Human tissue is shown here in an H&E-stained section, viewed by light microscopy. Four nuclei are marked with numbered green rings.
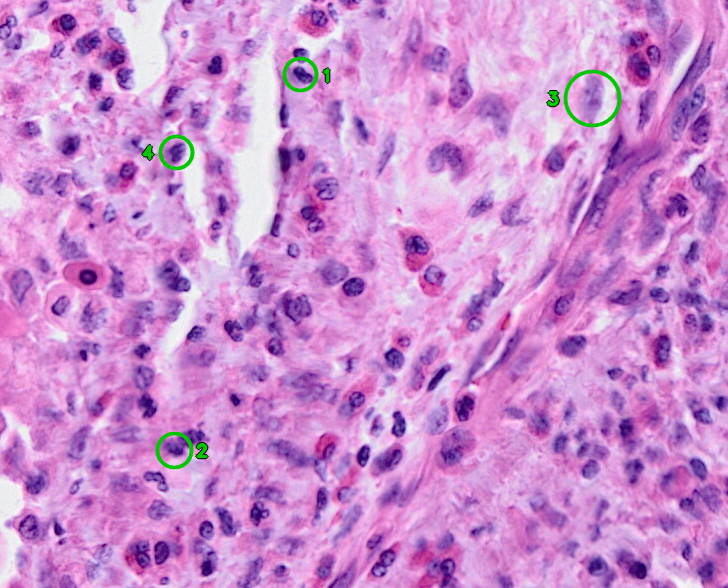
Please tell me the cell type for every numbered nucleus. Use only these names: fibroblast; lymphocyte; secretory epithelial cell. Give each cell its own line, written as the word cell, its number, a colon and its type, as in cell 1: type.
cell 1: lymphocyte
cell 2: lymphocyte
cell 3: fibroblast
cell 4: lymphocyte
